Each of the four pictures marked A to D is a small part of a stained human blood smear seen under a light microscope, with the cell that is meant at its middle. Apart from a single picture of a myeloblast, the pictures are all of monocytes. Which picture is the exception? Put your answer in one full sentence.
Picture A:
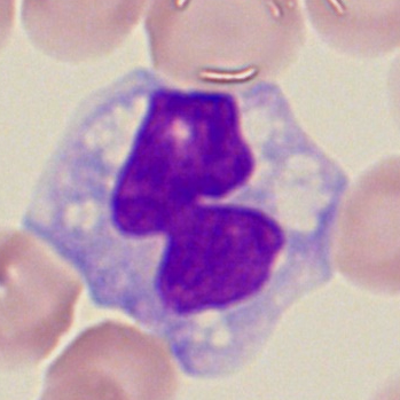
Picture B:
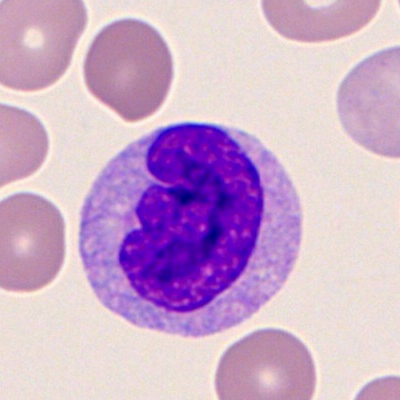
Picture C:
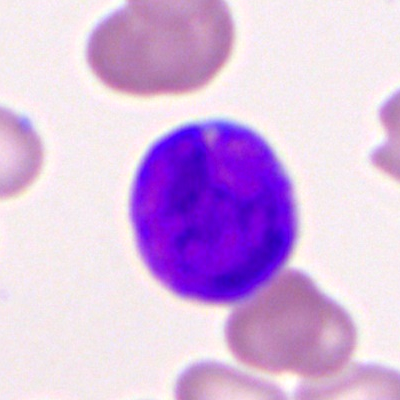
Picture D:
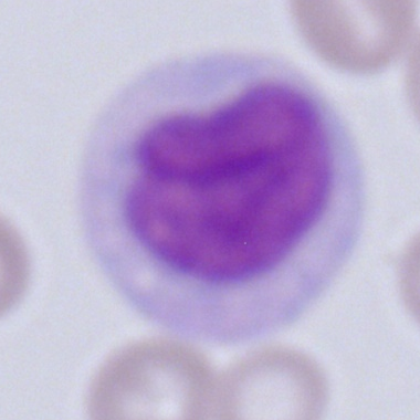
Picture C shows the myeloblast.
